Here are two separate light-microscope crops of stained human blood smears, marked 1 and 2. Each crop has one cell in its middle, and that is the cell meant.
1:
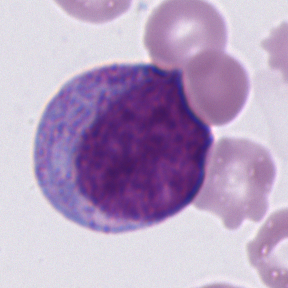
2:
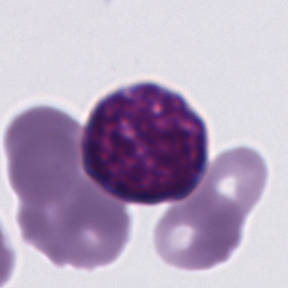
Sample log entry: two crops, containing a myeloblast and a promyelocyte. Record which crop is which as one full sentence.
The crop marked 1 shows a promyelocyte; the crop marked 2 shows a myeloblast.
